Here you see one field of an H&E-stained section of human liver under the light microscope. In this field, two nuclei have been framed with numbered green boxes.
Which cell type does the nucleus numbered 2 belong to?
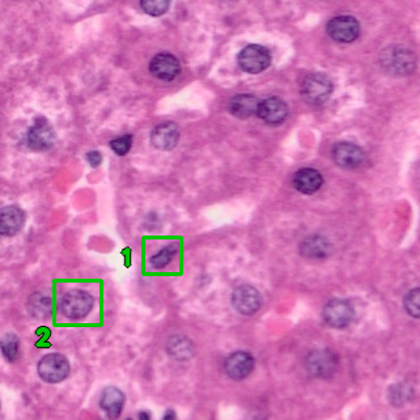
hepatocyte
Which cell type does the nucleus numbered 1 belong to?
fibroblast or stellate cell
